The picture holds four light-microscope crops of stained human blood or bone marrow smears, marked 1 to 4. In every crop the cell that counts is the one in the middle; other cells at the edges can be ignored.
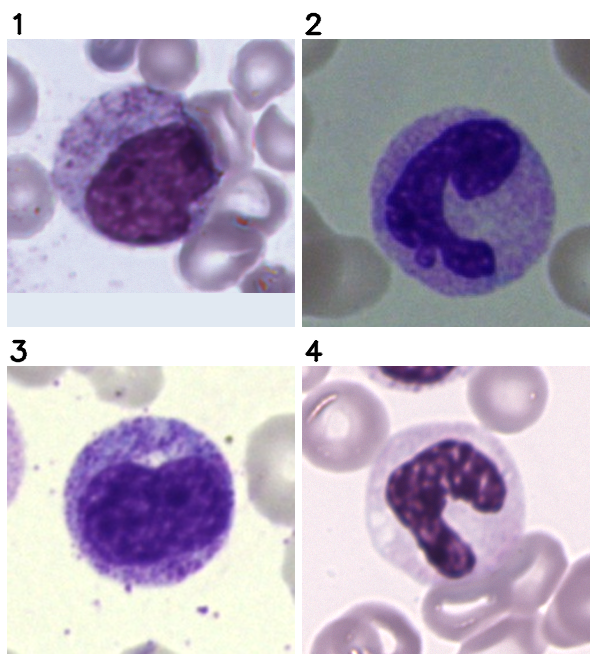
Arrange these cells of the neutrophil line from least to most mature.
1, 3, 4, 2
